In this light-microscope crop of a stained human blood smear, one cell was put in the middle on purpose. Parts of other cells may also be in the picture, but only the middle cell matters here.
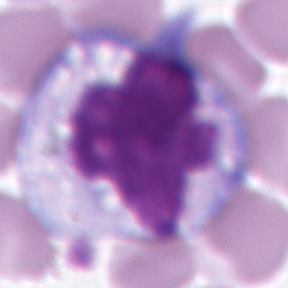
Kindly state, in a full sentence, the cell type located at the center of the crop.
The crop shows a monocyte in its centre.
